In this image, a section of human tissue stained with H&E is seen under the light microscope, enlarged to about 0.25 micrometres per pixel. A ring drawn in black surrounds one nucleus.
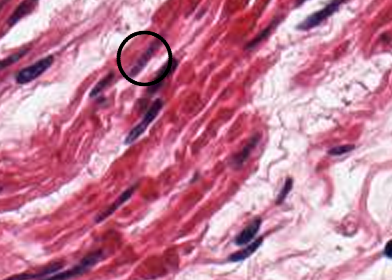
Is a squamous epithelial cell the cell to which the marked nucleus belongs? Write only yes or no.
no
